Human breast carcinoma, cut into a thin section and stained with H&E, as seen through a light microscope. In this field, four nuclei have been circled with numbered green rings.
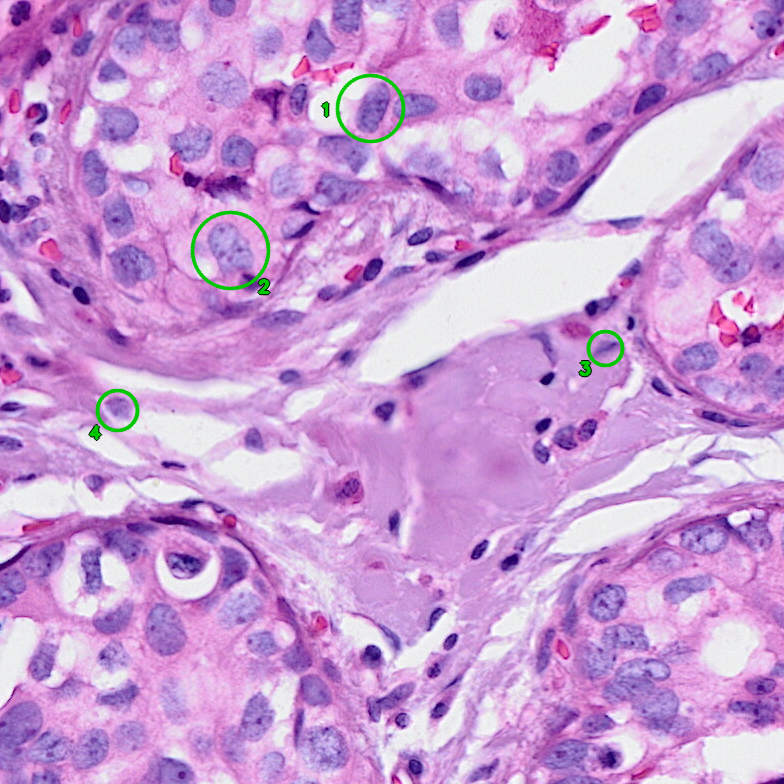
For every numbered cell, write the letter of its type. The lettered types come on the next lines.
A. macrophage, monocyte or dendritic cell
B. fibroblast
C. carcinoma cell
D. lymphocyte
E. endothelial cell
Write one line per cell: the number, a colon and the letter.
1: C
2: C
3: B
4: B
